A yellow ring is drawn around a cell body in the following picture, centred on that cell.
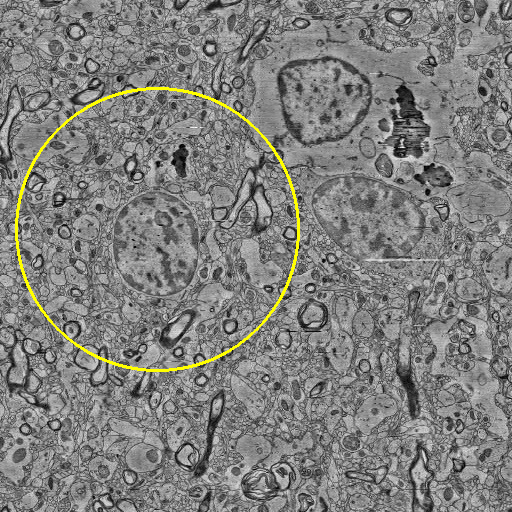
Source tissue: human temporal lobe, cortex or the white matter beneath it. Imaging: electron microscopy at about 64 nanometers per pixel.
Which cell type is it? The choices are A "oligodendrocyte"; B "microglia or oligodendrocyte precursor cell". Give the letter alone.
B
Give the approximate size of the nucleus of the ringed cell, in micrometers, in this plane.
Approximately 7 micrometres long and 5 micrometres wide, in this plane.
